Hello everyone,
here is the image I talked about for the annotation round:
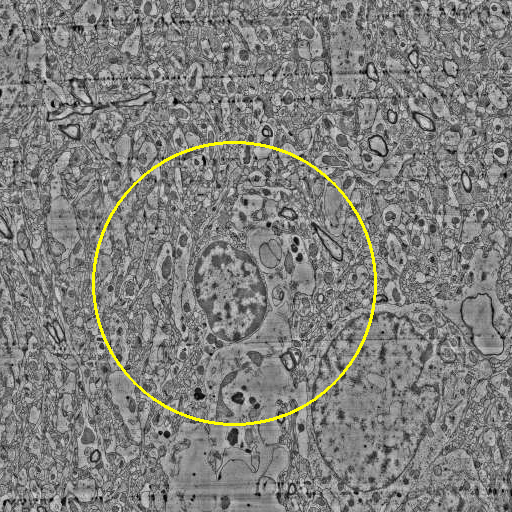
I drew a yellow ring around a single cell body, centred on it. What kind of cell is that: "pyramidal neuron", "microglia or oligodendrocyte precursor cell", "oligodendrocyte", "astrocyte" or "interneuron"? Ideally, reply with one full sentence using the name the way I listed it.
The cell your yellow ring is centred on is a microglial cell or oligodendrocyte precursor cell, going by your list.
